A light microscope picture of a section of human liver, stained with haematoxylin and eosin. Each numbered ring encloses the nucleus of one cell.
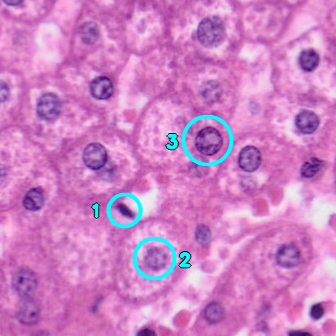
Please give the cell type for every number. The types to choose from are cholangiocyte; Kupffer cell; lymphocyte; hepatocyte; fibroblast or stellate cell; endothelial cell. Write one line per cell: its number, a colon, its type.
1: endothelial cell
2: hepatocyte
3: hepatocyte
